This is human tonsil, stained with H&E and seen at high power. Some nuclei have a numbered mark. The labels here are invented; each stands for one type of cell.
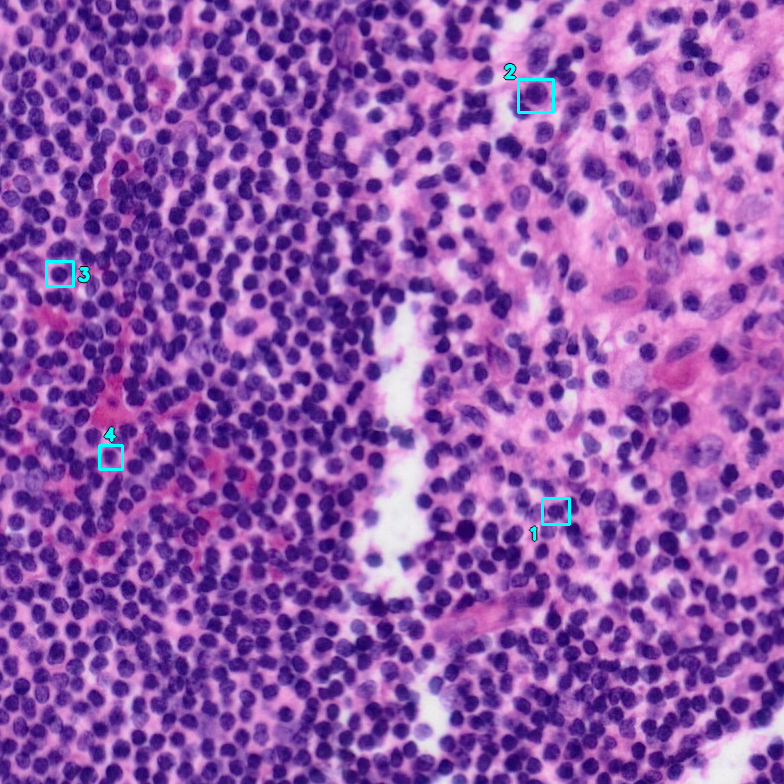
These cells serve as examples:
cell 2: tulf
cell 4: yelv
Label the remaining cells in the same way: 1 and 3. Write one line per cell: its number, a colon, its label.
1: yelv
3: yelv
